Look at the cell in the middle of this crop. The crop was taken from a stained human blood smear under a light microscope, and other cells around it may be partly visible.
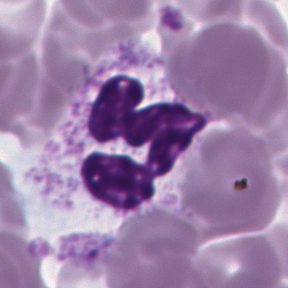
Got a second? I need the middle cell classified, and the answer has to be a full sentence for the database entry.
Classified as a neutrophil is the cell in the middle of this crop.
